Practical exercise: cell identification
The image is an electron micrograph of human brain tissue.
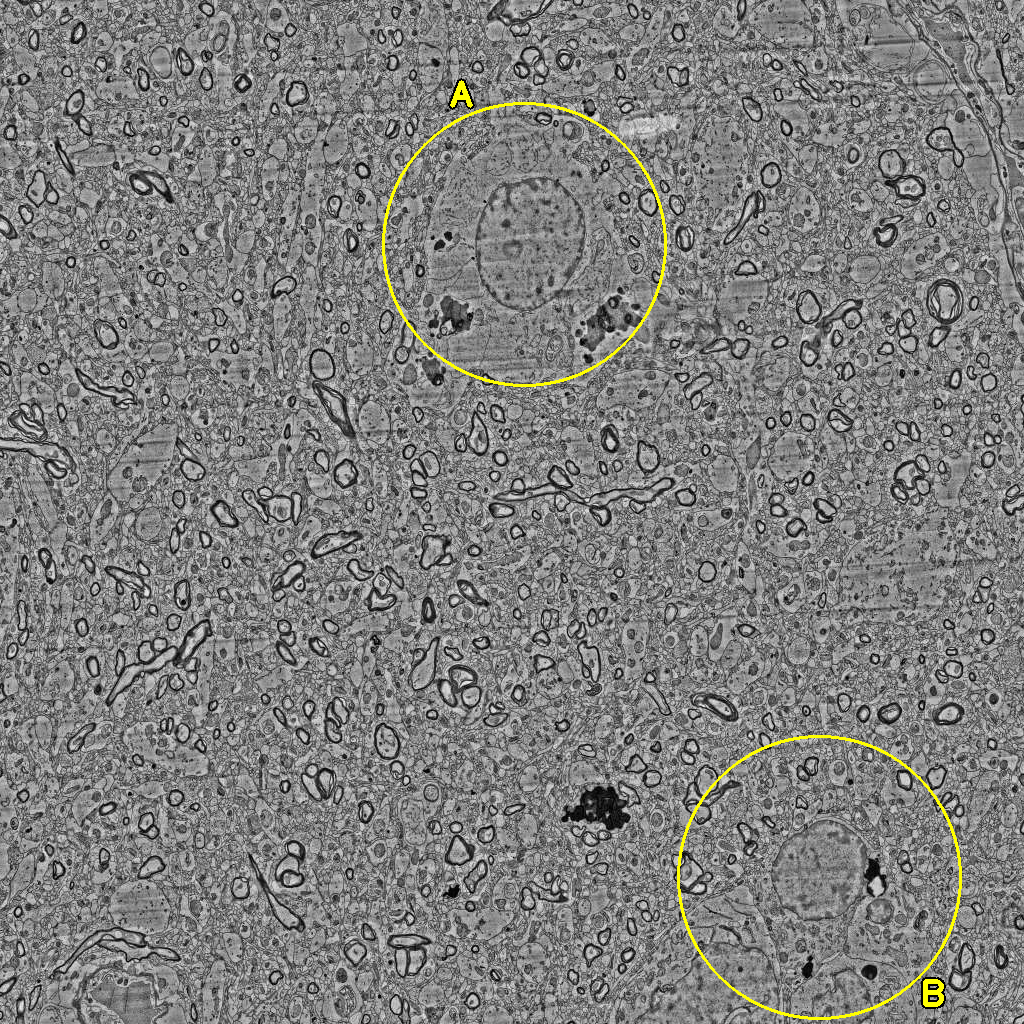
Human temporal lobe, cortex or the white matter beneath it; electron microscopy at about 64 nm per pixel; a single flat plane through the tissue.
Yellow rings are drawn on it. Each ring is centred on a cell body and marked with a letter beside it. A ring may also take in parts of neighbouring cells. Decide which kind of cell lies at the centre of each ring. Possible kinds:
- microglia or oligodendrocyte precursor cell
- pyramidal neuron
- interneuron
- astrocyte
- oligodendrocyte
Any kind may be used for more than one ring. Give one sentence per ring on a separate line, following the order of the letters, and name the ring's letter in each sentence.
The cell in the middle of ring A is an astrocyte.
The cell in the middle of ring B is an oligodendrocyte.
